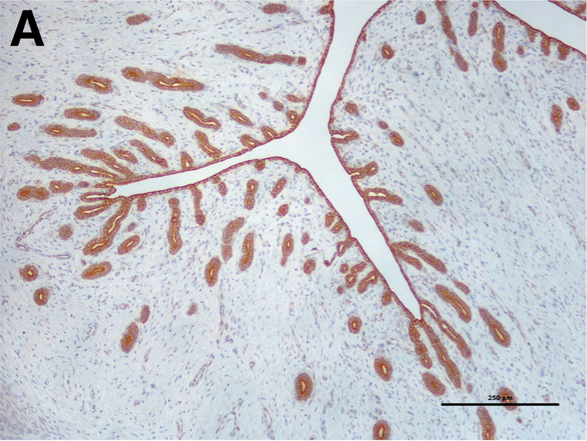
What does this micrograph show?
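This is endometrium, with a branching central lumen and many glands whose epithelium is stained brown. The lumen forms a Y-shaped cleft lined by a thin, continuous brown epithelial layer. Numerous straight or slightly coiled tubular glands radiate outward from the lumen into the surrounding stroma, cut both lengthwise and across. The stroma between the glands is pale, loose and cellular, with small blue spindle-shaped nuclei and no brown stain.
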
